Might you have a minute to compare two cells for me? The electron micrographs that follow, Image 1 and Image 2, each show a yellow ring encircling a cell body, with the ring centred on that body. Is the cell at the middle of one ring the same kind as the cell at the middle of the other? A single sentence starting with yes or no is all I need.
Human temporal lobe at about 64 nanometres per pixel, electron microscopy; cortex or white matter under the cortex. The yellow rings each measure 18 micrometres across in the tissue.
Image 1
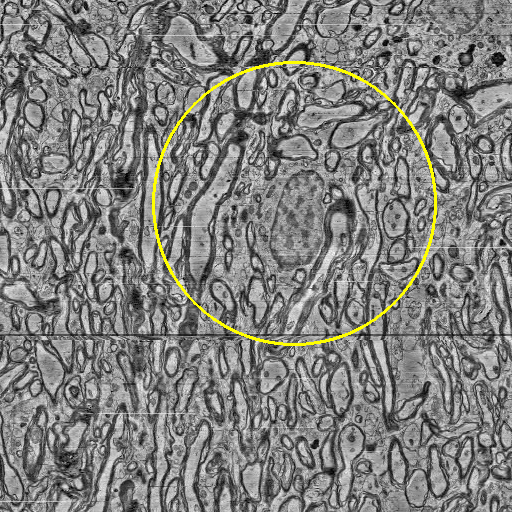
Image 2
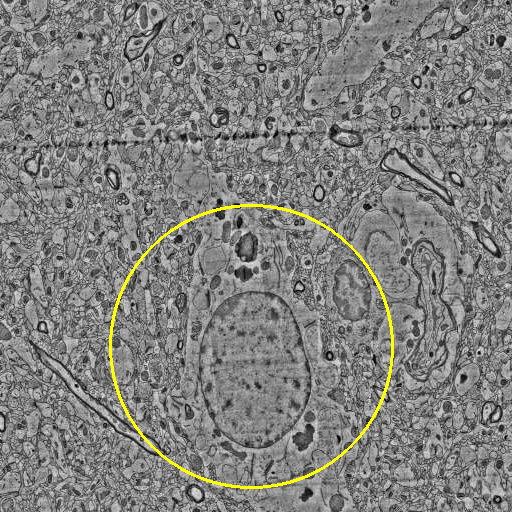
No, the cells in the middle of the two rings are of two separate kinds.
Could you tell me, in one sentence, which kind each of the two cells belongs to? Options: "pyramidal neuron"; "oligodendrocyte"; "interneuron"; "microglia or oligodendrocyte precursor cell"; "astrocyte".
At the centre of the first ring sits an oligodendrocyte, and at the centre of the second sits an astrocyte.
